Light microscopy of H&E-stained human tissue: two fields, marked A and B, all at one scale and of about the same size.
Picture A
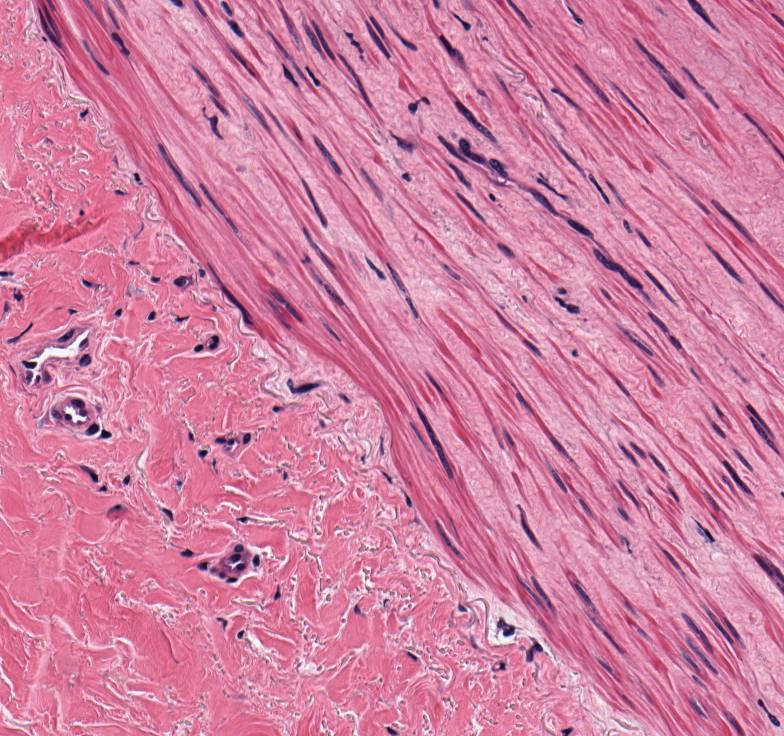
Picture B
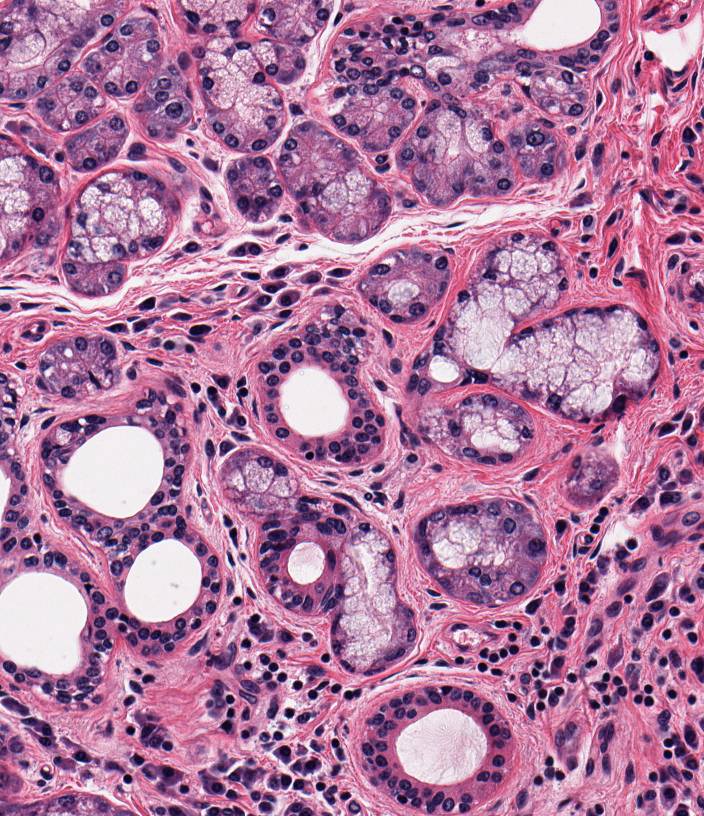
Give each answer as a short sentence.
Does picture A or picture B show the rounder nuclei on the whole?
Rounder nuclei lie in picture B.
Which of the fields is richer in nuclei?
It is picture B that has more nuclei in it.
